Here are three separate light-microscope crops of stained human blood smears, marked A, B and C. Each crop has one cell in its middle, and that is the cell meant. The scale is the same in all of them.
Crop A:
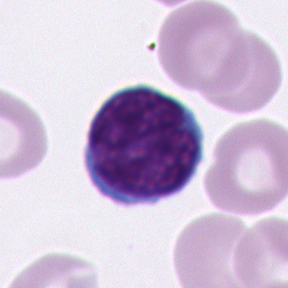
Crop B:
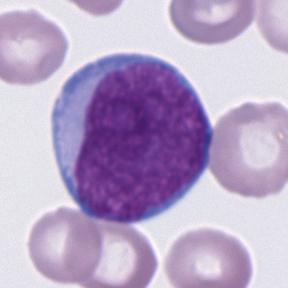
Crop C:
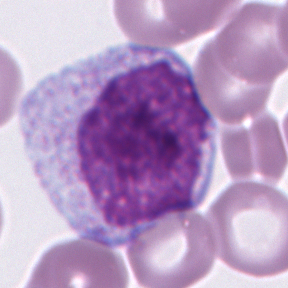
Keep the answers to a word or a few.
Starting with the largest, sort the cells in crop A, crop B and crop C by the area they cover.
C, B, A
